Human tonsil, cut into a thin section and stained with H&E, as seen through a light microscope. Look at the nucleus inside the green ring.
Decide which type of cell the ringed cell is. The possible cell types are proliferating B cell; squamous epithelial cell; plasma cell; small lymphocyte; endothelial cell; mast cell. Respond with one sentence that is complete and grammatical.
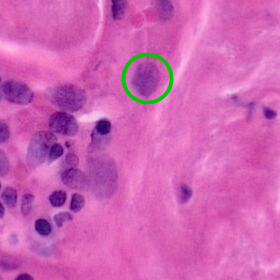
So far as cell type goes, the ringed cell is an endothelial cell.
